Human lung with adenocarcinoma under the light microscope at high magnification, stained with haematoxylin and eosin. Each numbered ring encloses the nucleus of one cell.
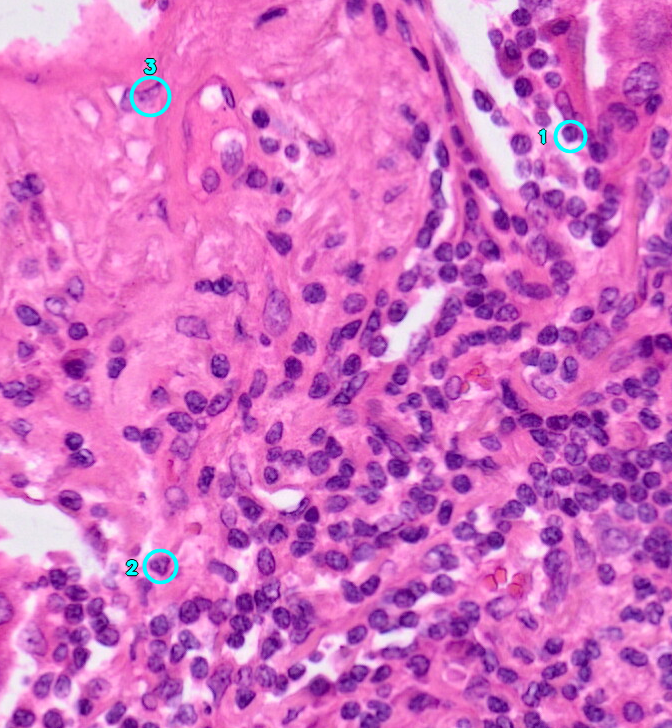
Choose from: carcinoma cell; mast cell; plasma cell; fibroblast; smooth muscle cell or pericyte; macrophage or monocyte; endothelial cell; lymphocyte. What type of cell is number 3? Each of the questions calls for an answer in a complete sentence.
In the marked set, the cell given number 3 is a fibroblast.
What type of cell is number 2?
The cell referenced by the number 2 is a lymphocyte in this field.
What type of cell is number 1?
The one numbered 1 among the marked cells is a lymphocyte.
